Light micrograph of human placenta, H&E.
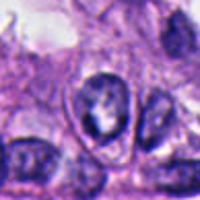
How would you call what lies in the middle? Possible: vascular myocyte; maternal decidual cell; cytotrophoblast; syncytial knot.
I would call it a cytotrophoblast.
